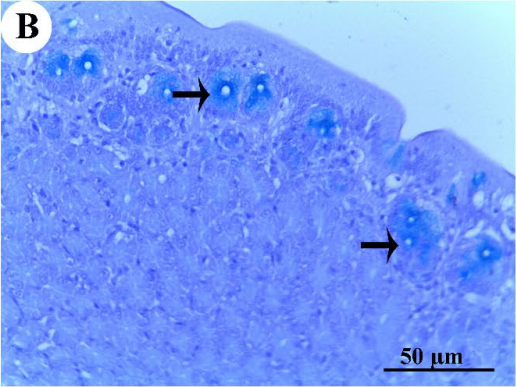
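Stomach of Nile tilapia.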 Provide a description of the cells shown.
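Gastric mucosa under a smooth surface epithelium, stained pale lilac. A row of rounded blue mucous secretions lies just beneath the surface, each with a lighter centre. A few larger blue clusters appear further along the surface. The deeper tissue shows scattered small nuclei with no blue staining.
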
